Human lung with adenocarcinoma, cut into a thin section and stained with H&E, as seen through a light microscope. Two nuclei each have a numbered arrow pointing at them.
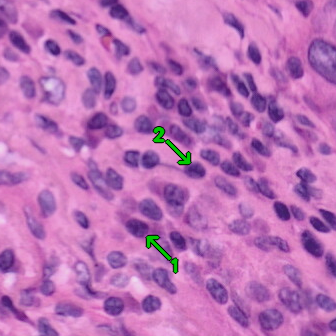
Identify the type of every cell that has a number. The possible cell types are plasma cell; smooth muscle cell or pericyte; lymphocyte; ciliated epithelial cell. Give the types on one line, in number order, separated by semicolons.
plasma cell; lymphocyte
